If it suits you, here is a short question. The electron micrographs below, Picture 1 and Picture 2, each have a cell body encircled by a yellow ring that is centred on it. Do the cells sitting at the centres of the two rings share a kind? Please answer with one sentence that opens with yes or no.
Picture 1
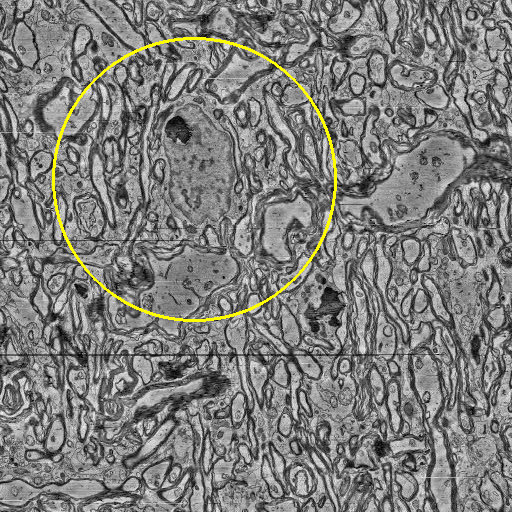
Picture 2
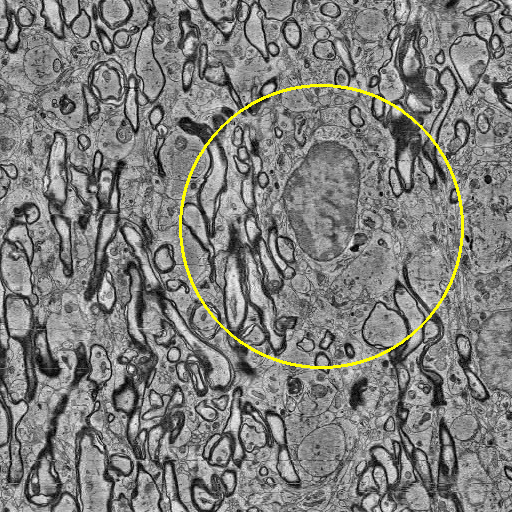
No, the two cells sitting at the ring centres fall into two kinds.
